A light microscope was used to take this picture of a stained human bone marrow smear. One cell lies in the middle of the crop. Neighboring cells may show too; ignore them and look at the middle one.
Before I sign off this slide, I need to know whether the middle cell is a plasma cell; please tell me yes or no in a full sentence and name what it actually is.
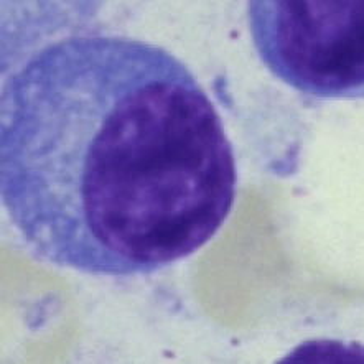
Yes, the cell in the middle is a plasma cell.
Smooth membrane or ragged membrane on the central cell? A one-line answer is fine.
The membrane contour is even and smooth, with nothing projecting from it.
